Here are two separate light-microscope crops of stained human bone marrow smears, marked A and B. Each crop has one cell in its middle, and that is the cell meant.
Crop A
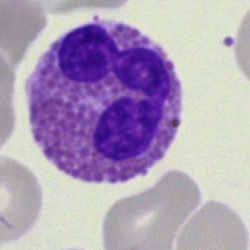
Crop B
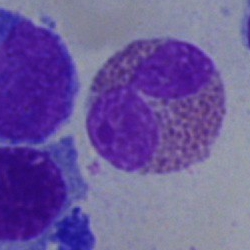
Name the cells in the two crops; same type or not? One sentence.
Yes, the cells at the middle of both crops are eosinophils.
